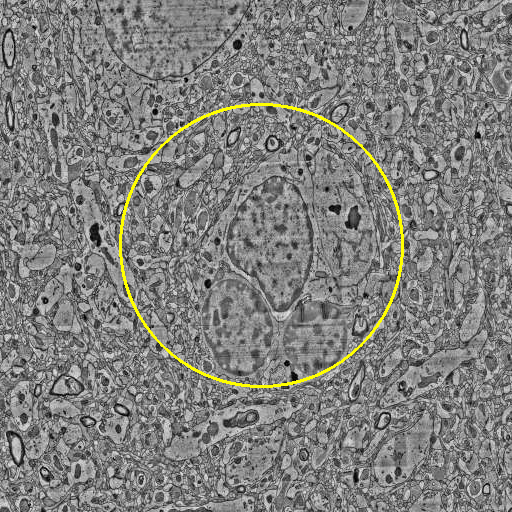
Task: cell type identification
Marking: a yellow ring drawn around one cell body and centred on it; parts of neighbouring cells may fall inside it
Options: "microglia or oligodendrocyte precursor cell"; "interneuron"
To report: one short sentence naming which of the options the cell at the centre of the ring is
The cell at the centre of the ring is a microglial cell or oligodendrocyte precursor cell.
